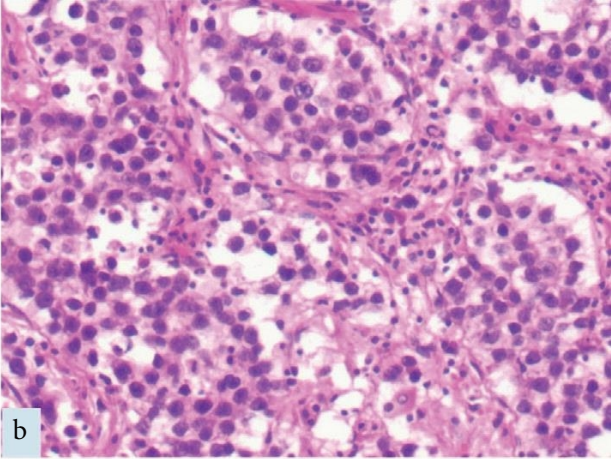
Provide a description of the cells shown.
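These are tumor cells, round to polygonal, set in nests separated by thin strands of pink fibrous stroma. The cytoplasm is pale pink to clear, and many cells appear loosely held together with empty spaces between them. Small dark lymphocytes are scattered within the stromal strands.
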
